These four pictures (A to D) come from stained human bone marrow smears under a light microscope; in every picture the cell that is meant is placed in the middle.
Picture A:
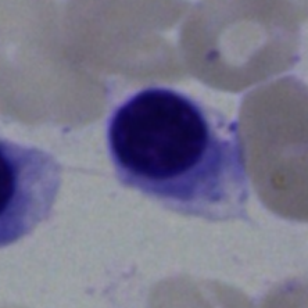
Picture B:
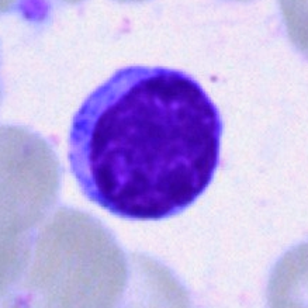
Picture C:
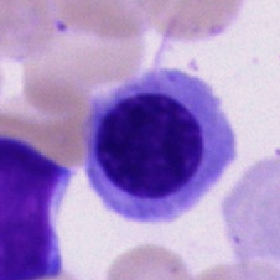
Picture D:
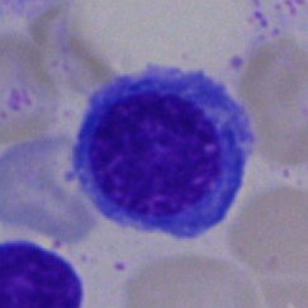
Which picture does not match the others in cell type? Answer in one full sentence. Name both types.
Picture B differs, because its cell is a lymphocyte and the rest are erythroblasts.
